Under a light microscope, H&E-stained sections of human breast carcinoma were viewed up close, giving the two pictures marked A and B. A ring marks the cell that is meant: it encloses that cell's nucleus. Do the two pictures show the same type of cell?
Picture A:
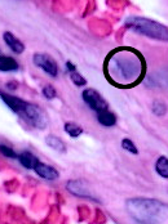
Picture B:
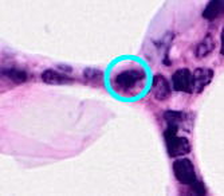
no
